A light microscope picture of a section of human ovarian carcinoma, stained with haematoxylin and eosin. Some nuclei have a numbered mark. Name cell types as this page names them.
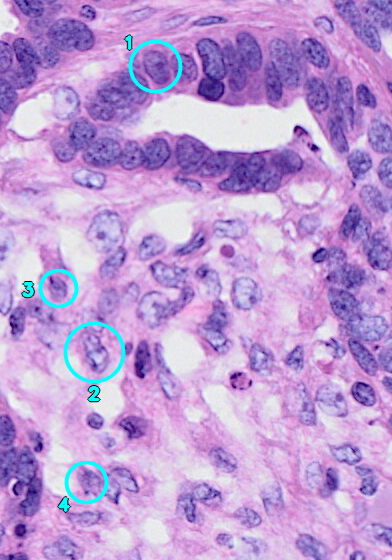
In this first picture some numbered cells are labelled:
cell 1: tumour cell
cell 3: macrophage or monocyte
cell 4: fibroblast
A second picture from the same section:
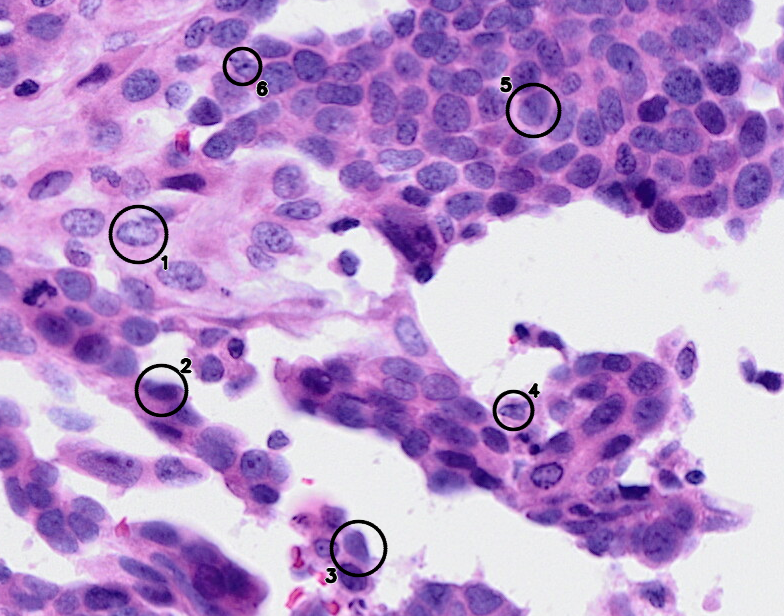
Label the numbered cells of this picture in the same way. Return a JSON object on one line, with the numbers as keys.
{"1": "fibroblast", "2": "tumour cell", "3": "tumour cell", "4": "macrophage or monocyte", "5": "tumour cell", "6": "macrophage or monocyte"}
